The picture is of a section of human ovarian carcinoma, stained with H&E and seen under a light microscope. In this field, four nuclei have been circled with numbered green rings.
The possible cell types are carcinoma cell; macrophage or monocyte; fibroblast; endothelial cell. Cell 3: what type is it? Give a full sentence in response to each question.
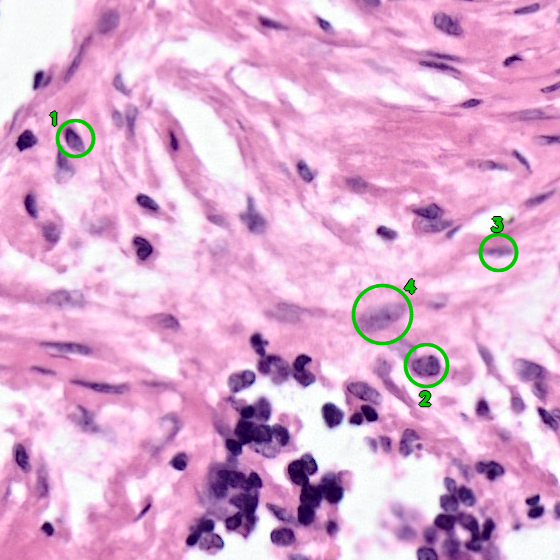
The cell that goes by number 3 is a fibroblast.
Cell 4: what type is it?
The nucleus marked 4 is the nucleus of a fibroblast.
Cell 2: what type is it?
The cell marked with the number 2 is a macrophage or monocyte.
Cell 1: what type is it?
Cell 1 is classified as a fibroblast.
